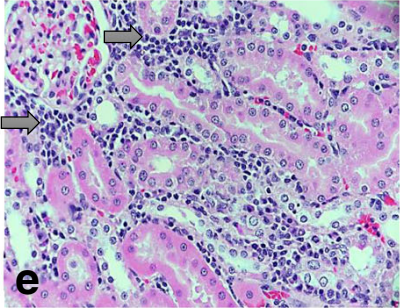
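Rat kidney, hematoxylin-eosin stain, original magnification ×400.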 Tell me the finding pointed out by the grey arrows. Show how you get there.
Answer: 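Dense sheets of small round dark nuclei fill the spaces between tubules. The infiltrating cells have scant cytoplasm, unlike the pink tubular cells. So: chronic inflammatory cell infiltrate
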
